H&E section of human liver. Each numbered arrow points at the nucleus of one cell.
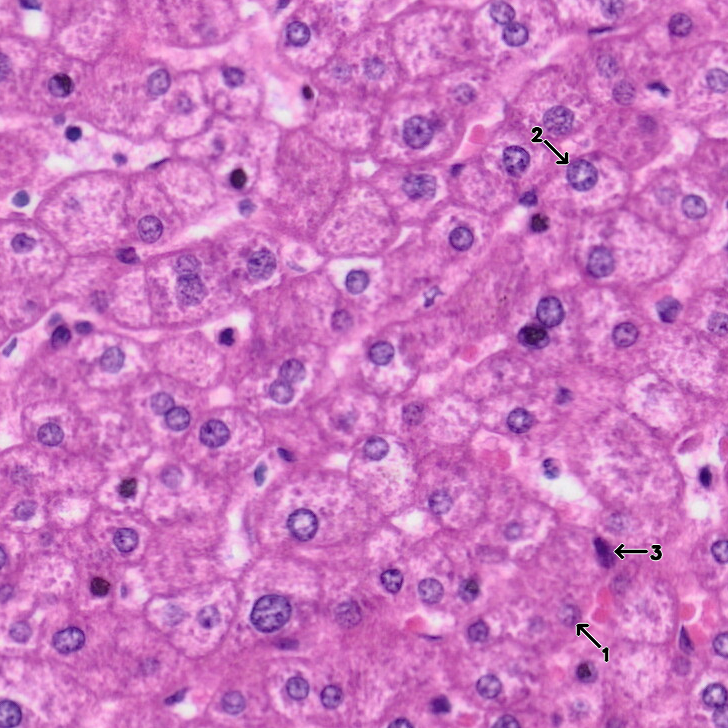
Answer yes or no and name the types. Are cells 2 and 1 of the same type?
Yes, it is true that cells 2 and 1 are both hepatocytes.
